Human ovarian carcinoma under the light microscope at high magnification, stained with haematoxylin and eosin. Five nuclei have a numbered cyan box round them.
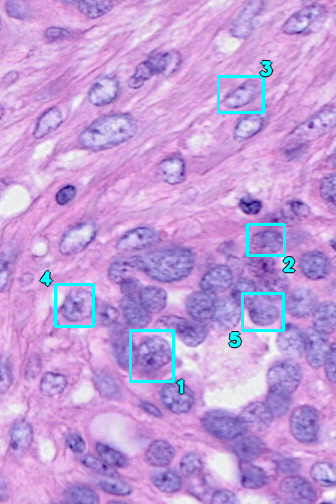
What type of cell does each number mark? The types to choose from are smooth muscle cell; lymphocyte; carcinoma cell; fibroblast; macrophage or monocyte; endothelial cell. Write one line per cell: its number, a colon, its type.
1: carcinoma cell
2: carcinoma cell
3: fibroblast
4: fibroblast
5: carcinoma cell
